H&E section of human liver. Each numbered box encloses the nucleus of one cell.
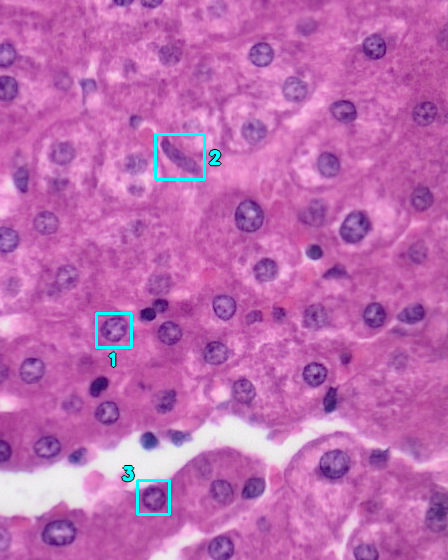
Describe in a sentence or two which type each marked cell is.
Cell 1 is a hepatocyte, cell 2 is a Kupffer cell and cell 3 is a hepatocyte.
